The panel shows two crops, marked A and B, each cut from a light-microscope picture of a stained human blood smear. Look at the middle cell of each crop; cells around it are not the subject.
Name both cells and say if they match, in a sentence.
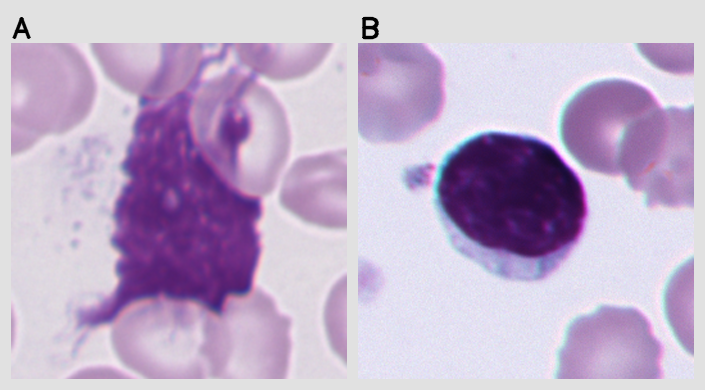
No, crop A contains a smudge cell, and crop B contains a typical lymphocyte.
